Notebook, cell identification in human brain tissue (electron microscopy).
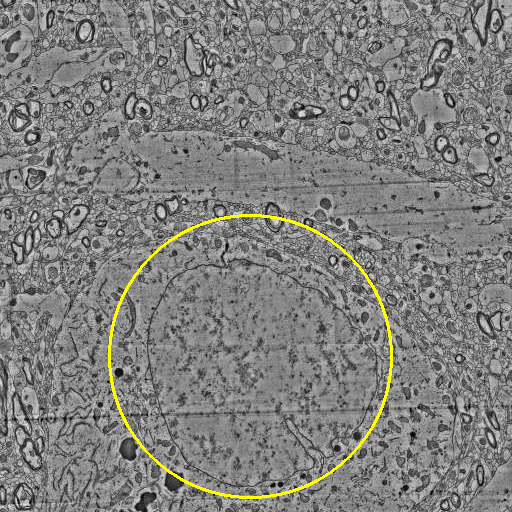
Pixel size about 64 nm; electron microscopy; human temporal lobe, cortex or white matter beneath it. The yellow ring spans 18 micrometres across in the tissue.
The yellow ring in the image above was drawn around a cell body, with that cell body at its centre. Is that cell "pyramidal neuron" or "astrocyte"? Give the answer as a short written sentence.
The cell in the ring is a pyramidal neuron.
